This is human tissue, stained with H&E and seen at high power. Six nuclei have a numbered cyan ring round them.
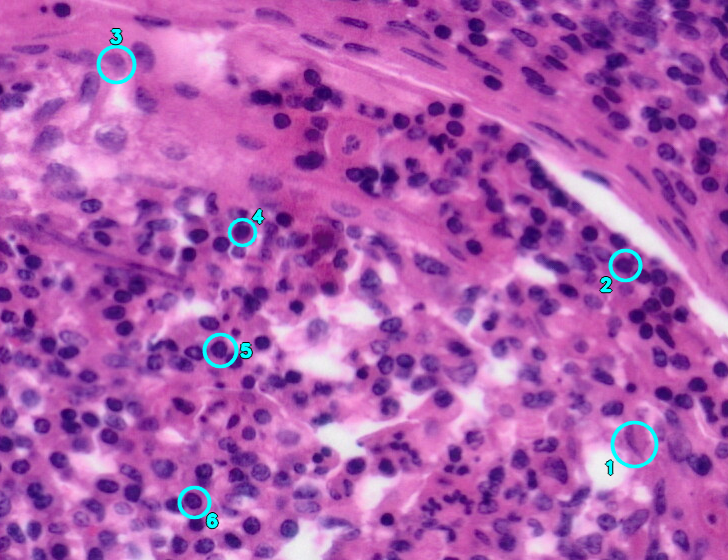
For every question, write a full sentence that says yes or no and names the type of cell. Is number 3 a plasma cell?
No, calling cell 3 a plasma cell is a mistake; it is a squamous epithelial cell.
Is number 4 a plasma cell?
Yes, the cell pointed out as number 4 is a plasma cell.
